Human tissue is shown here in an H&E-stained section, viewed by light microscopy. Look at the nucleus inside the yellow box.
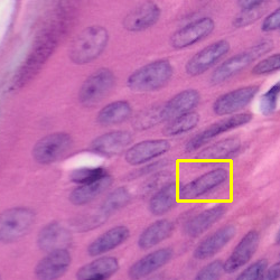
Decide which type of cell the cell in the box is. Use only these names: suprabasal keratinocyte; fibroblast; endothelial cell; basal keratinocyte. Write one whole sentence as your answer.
The cell meant here is a basal keratinocyte.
